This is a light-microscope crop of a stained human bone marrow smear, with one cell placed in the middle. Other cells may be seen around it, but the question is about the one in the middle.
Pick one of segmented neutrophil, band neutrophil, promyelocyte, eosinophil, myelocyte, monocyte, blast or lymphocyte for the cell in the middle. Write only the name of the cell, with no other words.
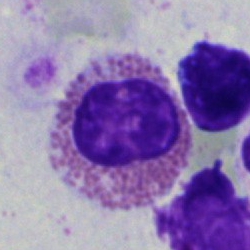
eosinophil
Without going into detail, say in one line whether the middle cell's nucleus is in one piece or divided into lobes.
Worth pointing out that its nucleus is one compact mass, round, oval or reniform.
